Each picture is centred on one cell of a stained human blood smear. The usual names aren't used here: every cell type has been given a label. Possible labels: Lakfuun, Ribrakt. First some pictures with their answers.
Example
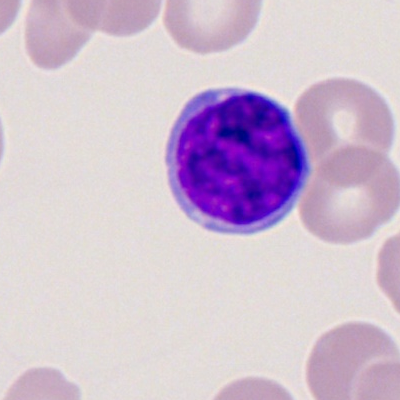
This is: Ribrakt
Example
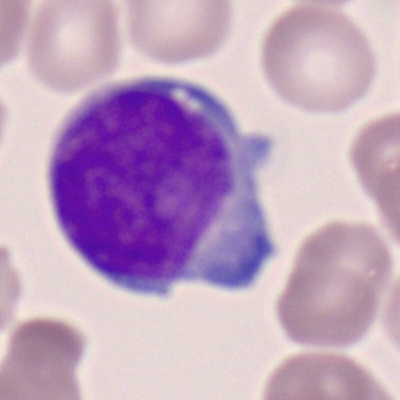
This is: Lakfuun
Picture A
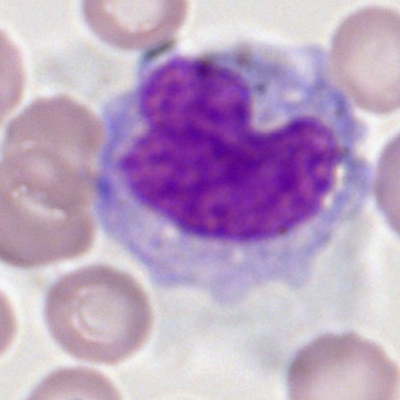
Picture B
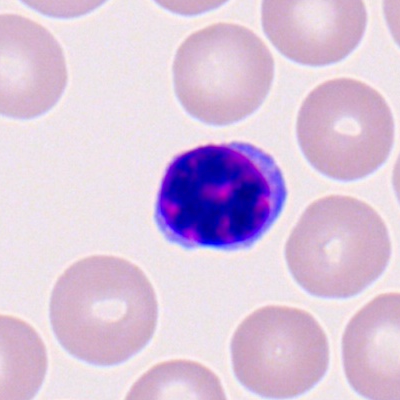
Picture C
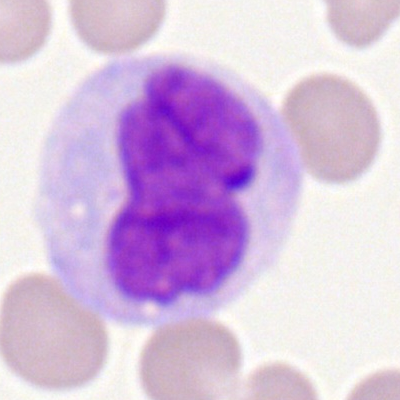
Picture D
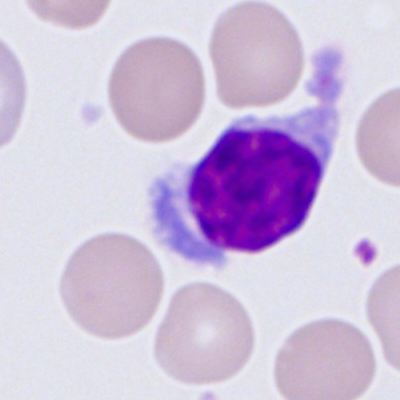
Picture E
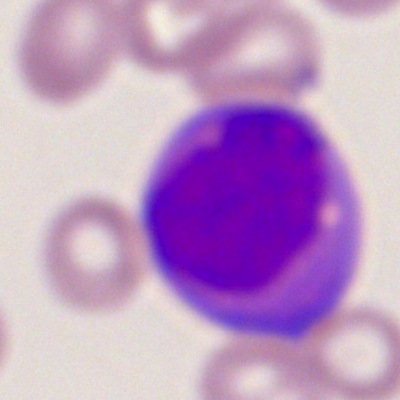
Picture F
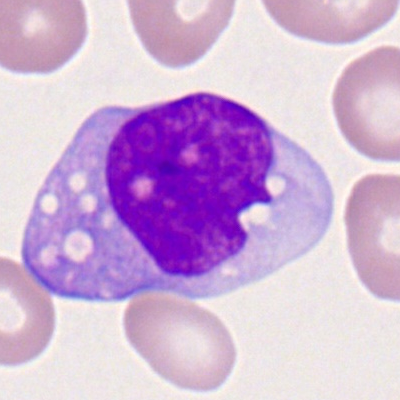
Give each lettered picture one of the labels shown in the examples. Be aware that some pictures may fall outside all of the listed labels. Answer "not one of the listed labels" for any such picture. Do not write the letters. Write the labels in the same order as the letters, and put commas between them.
not one of the listed labels, Ribrakt, not one of the listed labels, Ribrakt, Lakfuun, not one of the listed labels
